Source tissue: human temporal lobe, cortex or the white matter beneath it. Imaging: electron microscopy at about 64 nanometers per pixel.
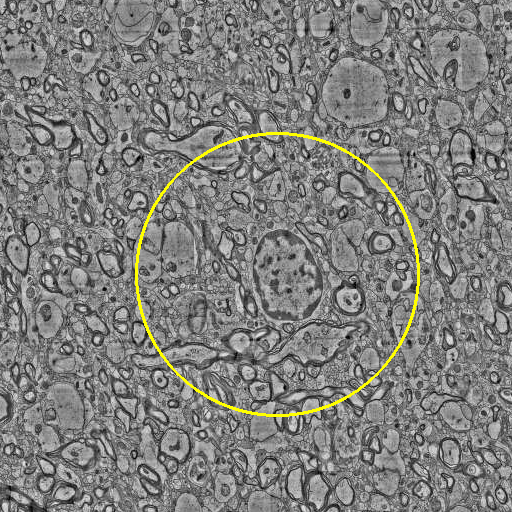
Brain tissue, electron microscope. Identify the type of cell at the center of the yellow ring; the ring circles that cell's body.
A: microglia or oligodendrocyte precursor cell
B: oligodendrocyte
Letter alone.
A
